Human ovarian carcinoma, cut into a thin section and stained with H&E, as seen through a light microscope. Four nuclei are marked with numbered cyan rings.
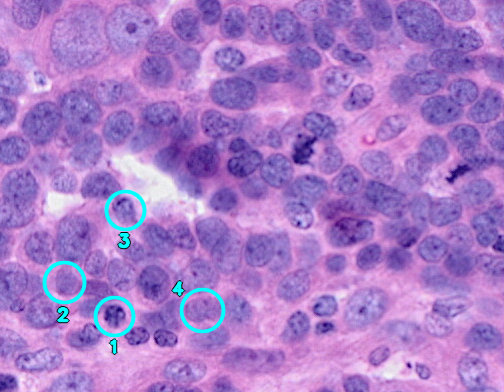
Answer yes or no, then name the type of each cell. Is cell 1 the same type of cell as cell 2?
No, cell 1 is a lymphocyte and cell 2 is a carcinoma cell.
